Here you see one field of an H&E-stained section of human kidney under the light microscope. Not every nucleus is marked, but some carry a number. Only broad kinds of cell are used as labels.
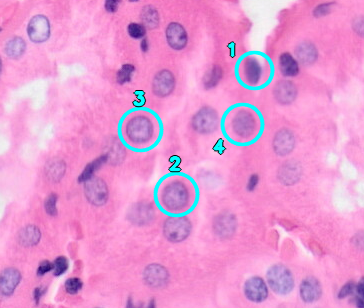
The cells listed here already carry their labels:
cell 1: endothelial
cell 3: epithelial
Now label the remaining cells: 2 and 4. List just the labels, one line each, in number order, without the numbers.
epithelial
epithelial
